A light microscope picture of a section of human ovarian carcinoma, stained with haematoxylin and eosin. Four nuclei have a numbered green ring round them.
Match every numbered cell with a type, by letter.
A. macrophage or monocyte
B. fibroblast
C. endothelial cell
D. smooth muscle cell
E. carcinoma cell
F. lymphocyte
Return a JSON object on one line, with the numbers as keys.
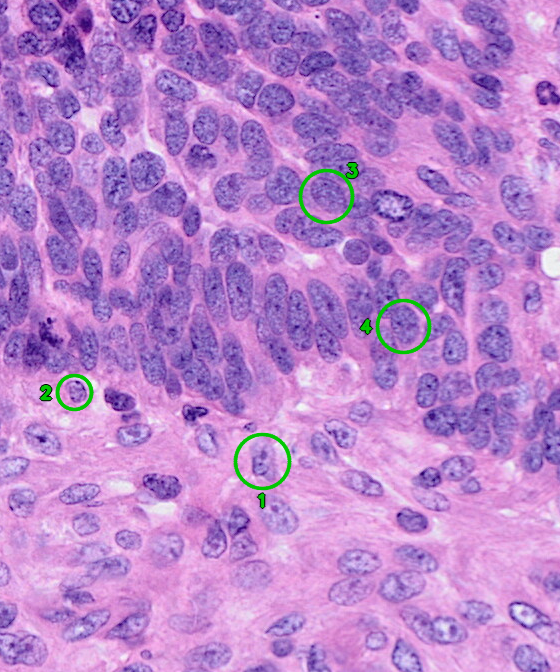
{"1": "B", "2": "A", "3": "E", "4": "E"}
